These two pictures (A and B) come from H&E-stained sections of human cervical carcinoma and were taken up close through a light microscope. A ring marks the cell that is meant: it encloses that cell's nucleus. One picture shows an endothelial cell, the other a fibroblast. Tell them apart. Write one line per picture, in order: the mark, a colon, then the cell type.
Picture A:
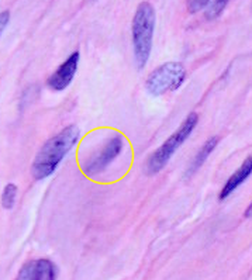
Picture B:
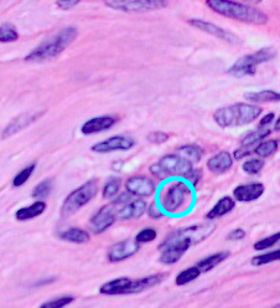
A: fibroblast
B: endothelial cell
